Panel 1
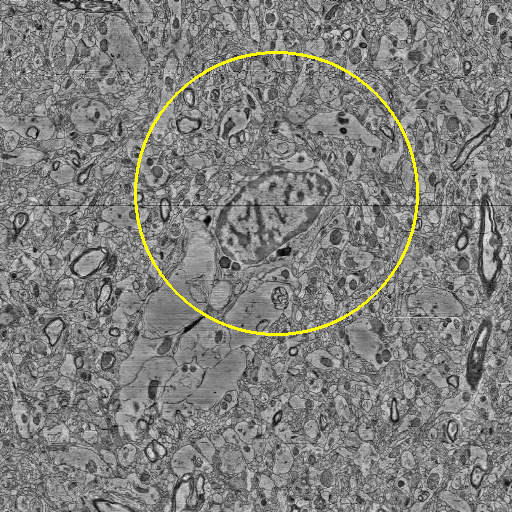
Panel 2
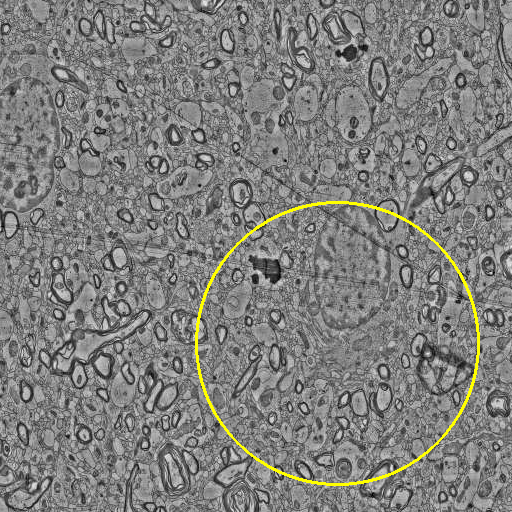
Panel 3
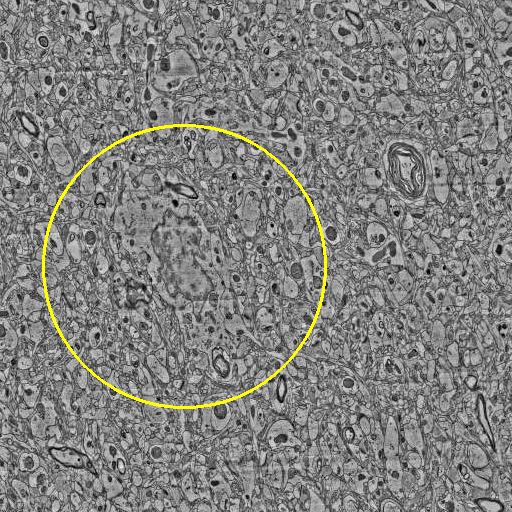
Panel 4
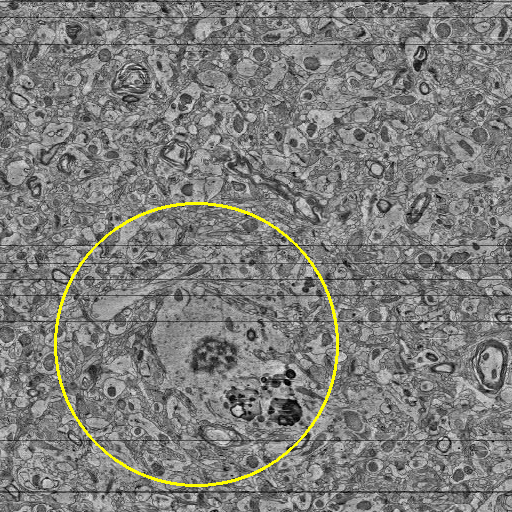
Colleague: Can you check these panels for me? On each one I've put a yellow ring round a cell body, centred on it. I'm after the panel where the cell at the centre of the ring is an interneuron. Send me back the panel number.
3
